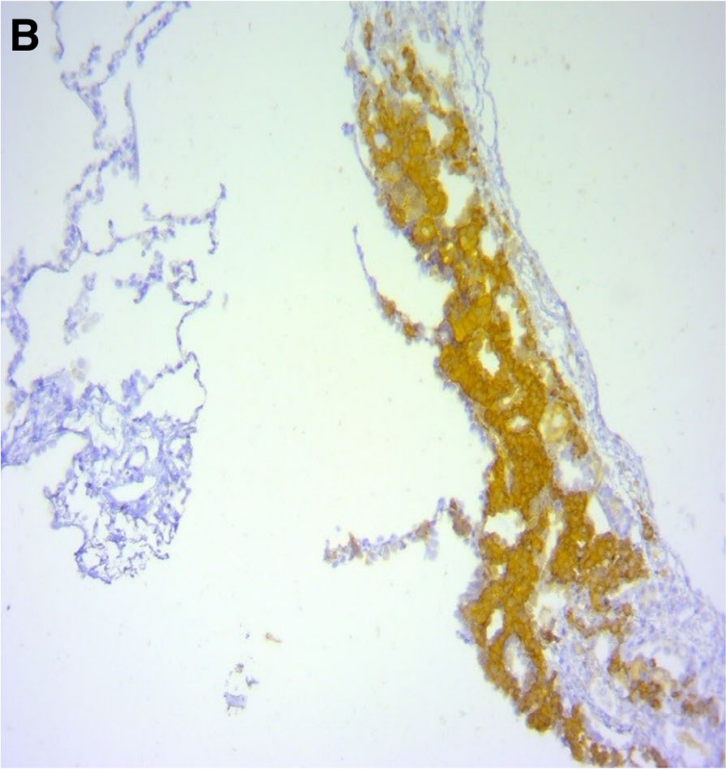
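The stained cells are rounded, closely packed and form nests and clusters along an elongated strip of tissue. A thin blue-counterstained fibrous rim borders the band. Lung tissue with delicate alveolar walls on the left is unstained and blue. Some brown-stained cells lie loosely detached at the edge of the band.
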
